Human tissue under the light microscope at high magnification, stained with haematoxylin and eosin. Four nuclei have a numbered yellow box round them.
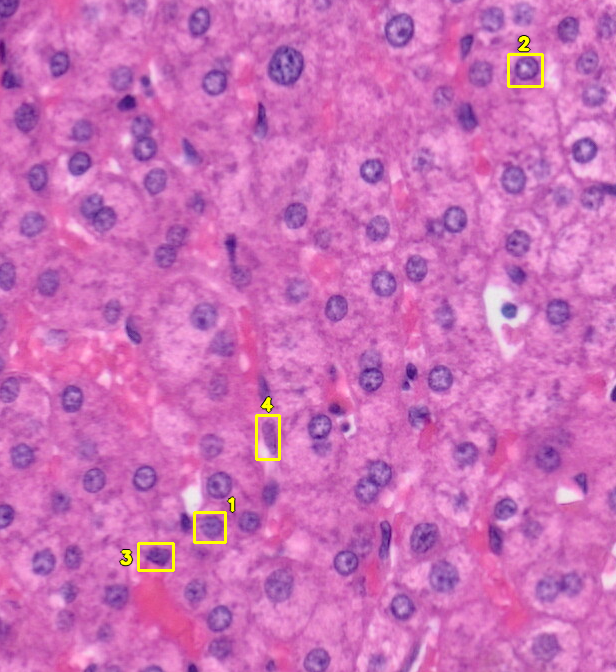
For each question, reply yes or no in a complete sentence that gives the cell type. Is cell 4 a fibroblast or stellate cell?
No, the identification of cell 4 as a fibroblast or stellate cell is incorrect; it is a Kupffer cell.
